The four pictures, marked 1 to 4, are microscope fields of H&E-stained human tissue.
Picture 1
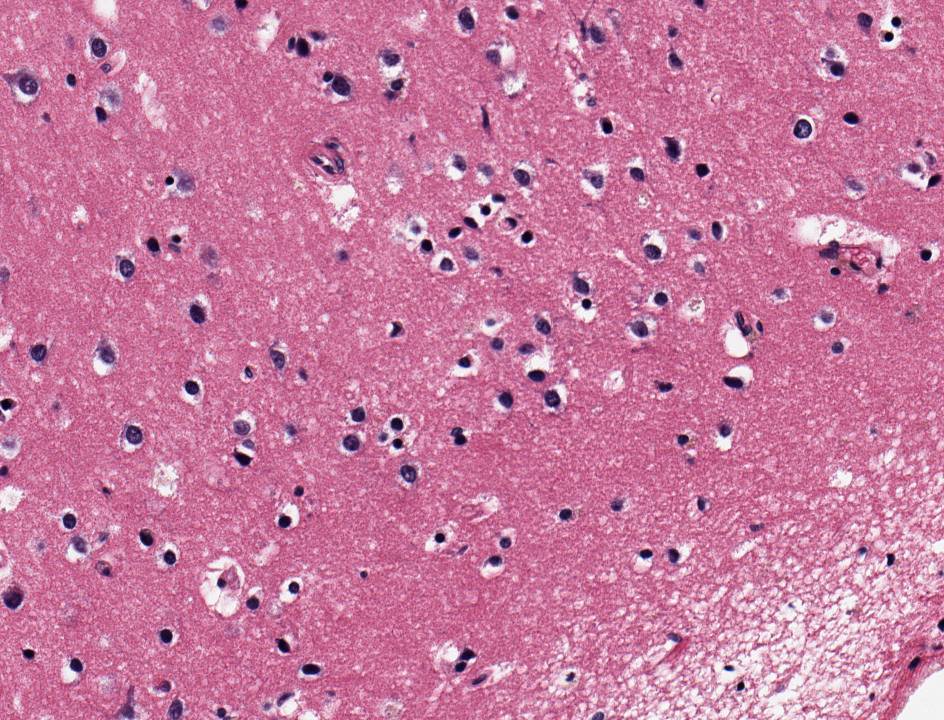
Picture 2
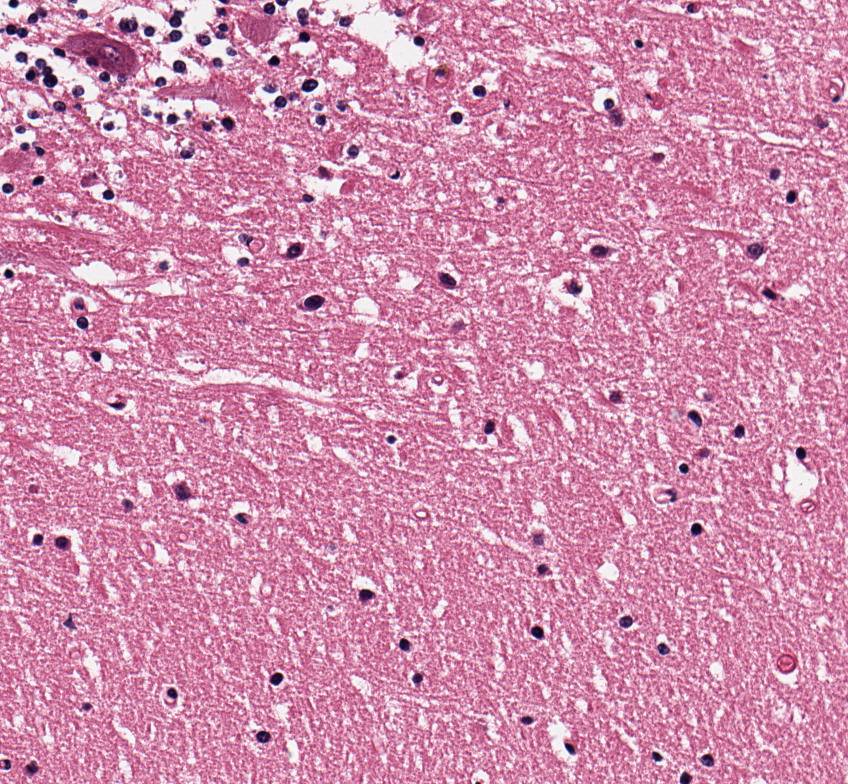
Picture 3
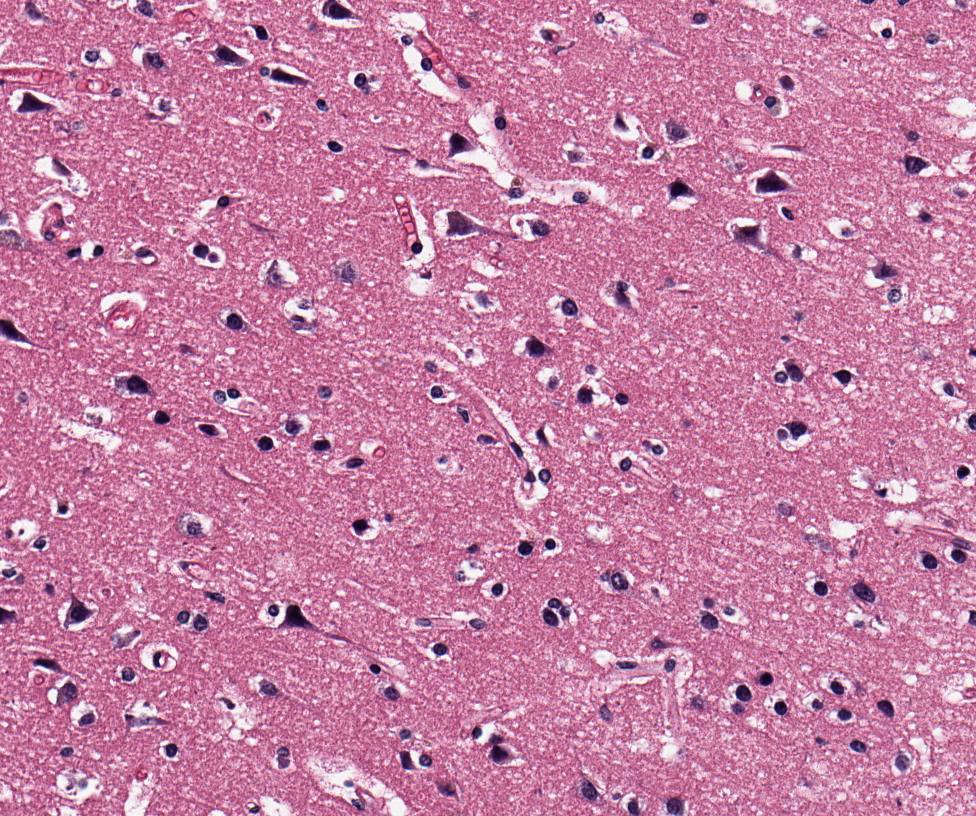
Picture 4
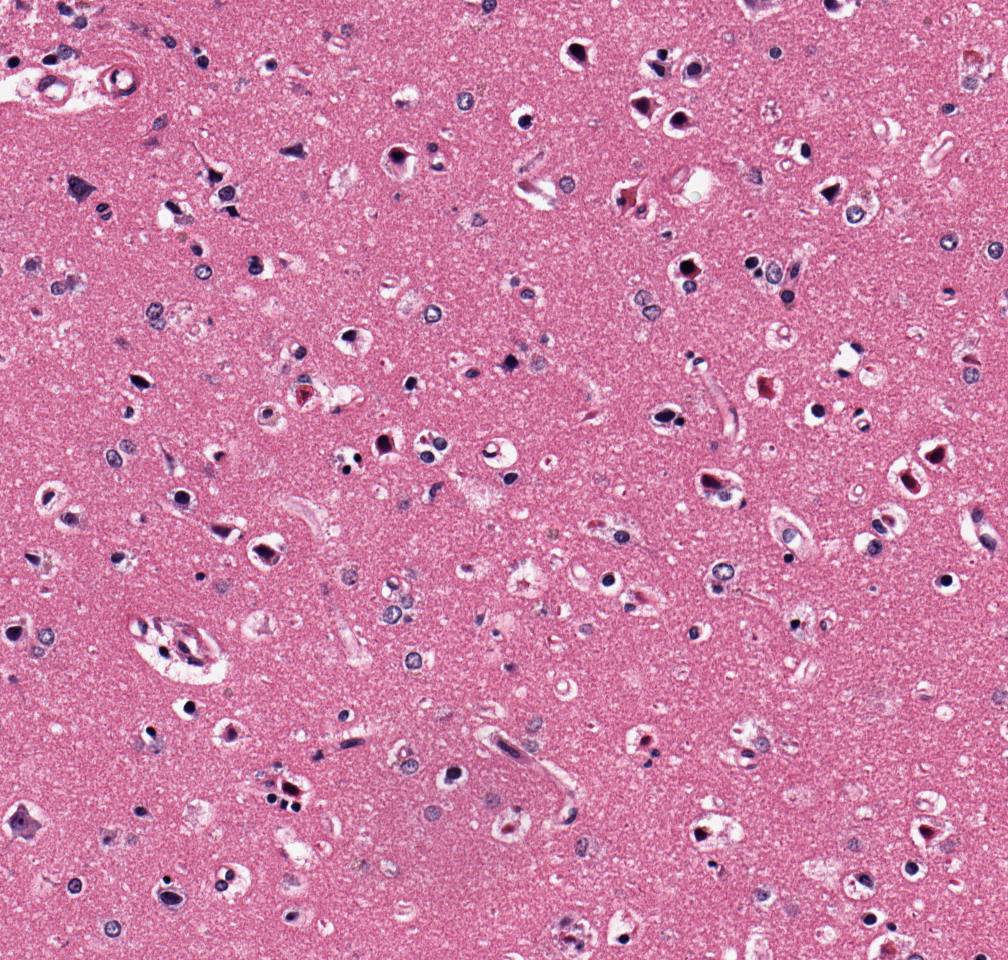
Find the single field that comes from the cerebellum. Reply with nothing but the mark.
2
